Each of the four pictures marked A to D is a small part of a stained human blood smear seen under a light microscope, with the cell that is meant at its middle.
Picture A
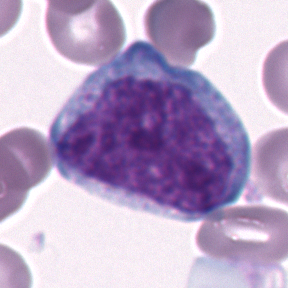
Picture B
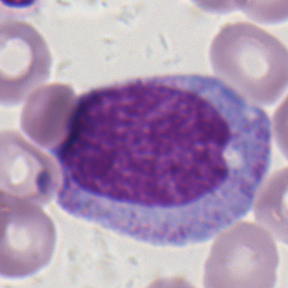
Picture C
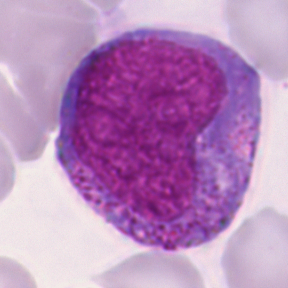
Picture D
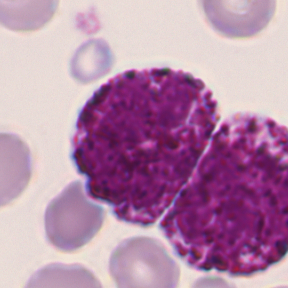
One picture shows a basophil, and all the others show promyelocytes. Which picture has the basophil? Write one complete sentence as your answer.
The basophil is the one in picture D.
